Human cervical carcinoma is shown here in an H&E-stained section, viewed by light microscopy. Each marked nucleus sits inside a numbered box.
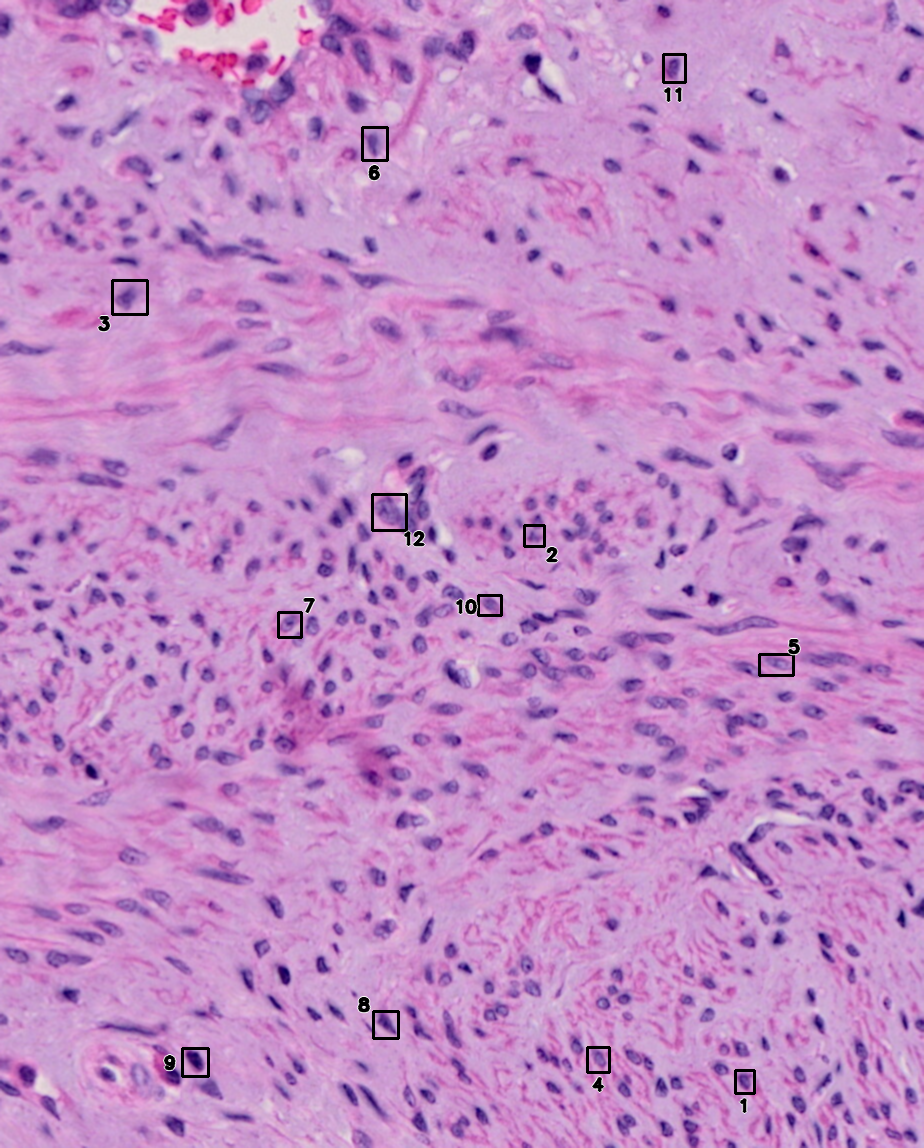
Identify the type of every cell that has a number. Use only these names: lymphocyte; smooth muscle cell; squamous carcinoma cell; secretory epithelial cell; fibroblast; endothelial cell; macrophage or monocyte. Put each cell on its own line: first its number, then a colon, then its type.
1: smooth muscle cell
2: smooth muscle cell
3: fibroblast
4: smooth muscle cell
5: smooth muscle cell
6: fibroblast
7: smooth muscle cell
8: fibroblast
9: lymphocyte
10: smooth muscle cell
11: fibroblast
12: endothelial cell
